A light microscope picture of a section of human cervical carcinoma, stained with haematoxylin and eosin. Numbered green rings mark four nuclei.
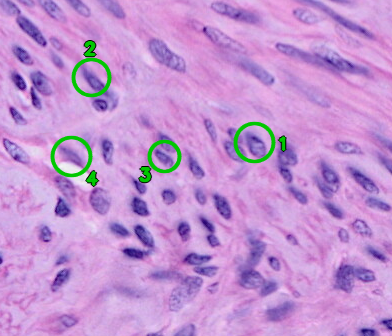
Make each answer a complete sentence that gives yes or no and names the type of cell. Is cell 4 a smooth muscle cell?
No, the cell with the number 4 is an endothelial cell, not a smooth muscle cell.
